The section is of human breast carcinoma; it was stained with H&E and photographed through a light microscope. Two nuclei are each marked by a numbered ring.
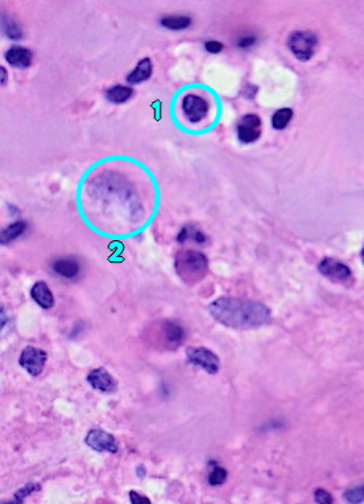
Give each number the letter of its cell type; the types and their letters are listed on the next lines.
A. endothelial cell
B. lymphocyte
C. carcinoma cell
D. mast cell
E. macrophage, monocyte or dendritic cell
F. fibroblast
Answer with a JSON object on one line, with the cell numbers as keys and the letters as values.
{"1": "B", "2": "F"}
